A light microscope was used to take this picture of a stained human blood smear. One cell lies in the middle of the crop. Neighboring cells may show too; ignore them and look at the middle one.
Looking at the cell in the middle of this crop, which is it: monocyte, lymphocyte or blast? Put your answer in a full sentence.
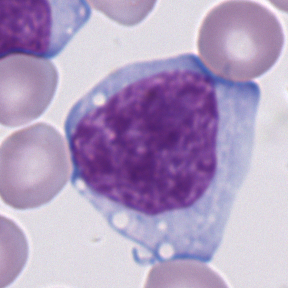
The cell in the exact centre of the crop is a blast.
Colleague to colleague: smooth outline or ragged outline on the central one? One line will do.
Irregular rather than smooth, the cell margin shows ragged areas or projections.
